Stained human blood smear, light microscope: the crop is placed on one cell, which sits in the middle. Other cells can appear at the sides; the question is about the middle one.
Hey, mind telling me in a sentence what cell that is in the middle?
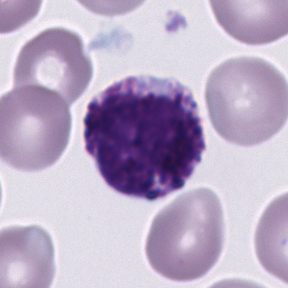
The cell found in the middle of this crop is a basophil.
